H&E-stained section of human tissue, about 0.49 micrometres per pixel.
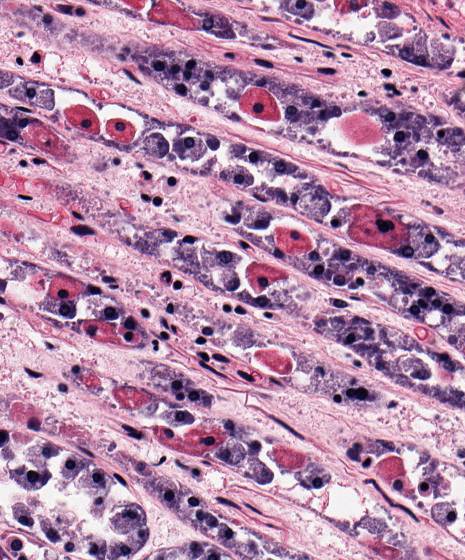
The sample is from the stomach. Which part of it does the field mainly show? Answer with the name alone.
fundic glands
